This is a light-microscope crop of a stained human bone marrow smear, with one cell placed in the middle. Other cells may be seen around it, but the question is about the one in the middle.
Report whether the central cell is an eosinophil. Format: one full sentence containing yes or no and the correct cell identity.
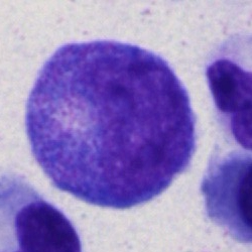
No, the centre cell is not an eosinophil but a promyelocyte.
